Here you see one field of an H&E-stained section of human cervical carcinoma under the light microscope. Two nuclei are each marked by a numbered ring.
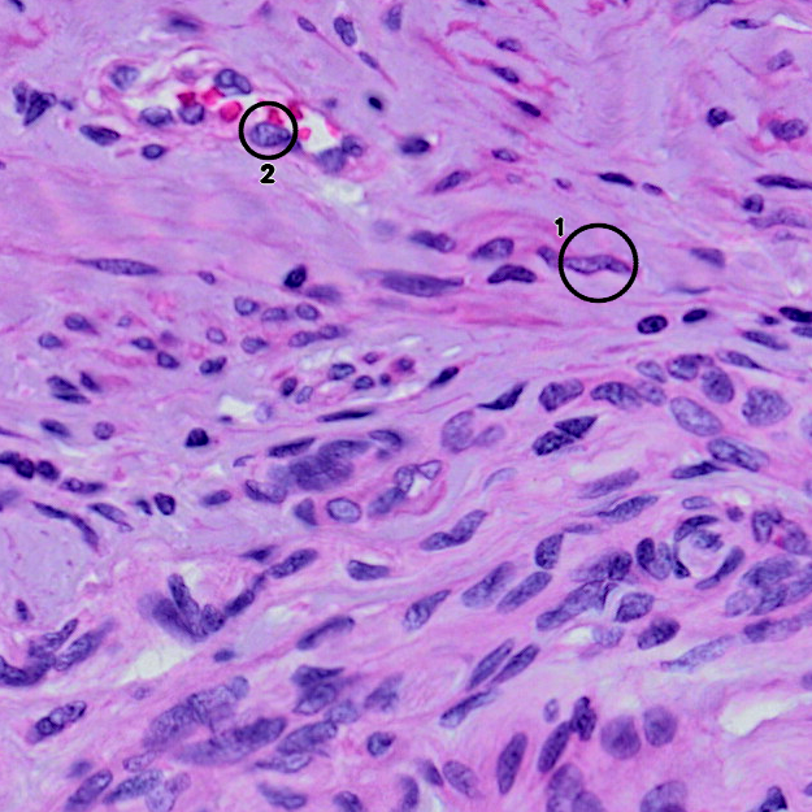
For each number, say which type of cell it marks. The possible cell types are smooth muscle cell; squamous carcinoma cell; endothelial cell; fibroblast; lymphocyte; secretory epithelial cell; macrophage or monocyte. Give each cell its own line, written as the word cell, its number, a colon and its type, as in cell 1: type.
cell 1: smooth muscle cell
cell 2: endothelial cell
